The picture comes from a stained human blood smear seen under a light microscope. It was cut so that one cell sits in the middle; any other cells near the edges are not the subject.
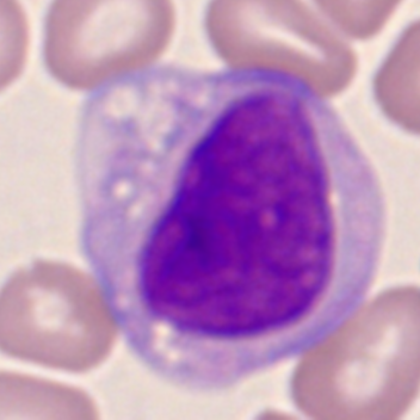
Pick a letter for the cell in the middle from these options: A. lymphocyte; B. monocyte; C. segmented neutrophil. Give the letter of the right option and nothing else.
B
